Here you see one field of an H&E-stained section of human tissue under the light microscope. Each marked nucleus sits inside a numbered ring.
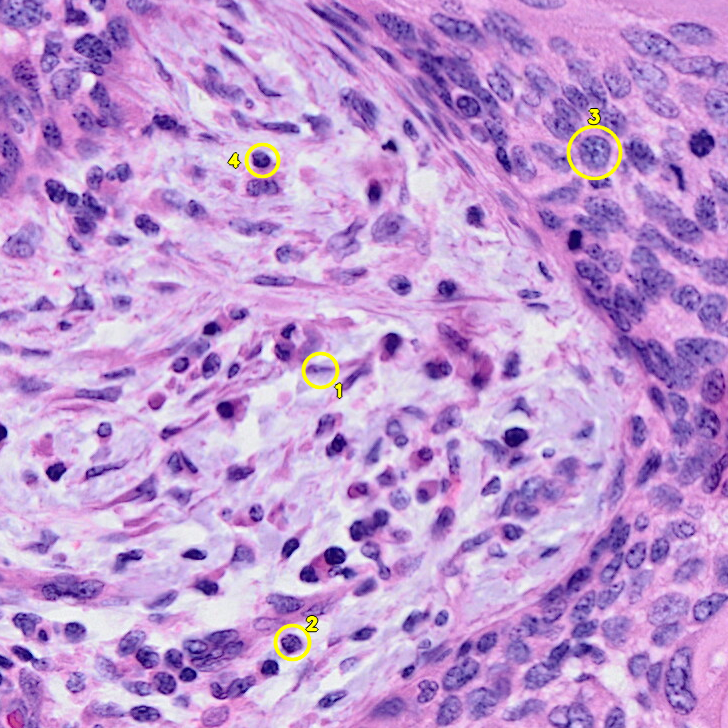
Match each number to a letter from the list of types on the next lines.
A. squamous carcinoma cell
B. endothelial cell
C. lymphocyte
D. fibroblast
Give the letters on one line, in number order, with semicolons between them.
D; C; A; C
